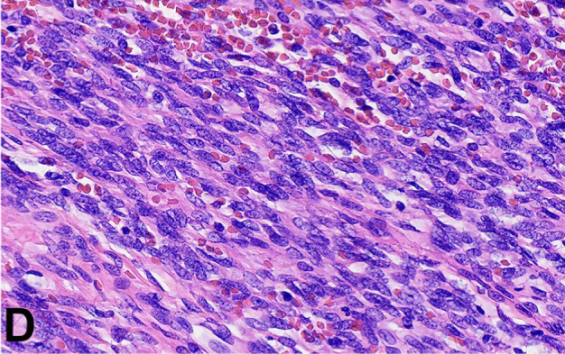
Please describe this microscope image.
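This is a high-power view of a spindle-cell mesenchymal tumor made of closely packed neoplastic cells with a fibroblastic look. Cytoplasm is scant and pale pink, so nuclei almost touch one another. Red blood cells lie in small slit-like spaces between the tumor cells.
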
